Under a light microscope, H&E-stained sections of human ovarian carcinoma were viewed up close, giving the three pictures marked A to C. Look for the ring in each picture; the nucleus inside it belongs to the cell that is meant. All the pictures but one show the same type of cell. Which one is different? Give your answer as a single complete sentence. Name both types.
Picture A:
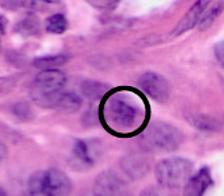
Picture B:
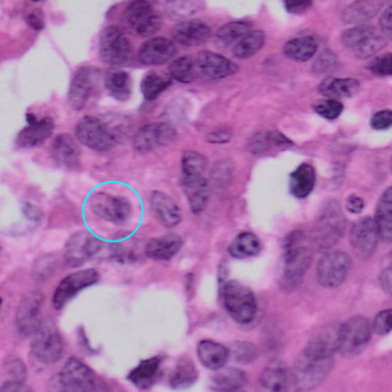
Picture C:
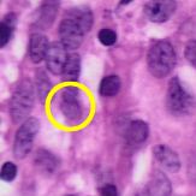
The others show carcinoma cells, but picture B shows a “macrophage or monocyte”.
